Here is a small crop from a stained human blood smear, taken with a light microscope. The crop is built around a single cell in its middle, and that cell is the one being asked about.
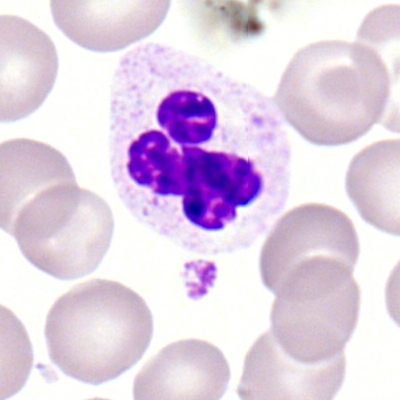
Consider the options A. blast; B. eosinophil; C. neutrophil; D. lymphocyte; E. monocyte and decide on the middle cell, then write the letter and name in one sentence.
Seen at the centre of the crop is a neutrophil, so option C is correct.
